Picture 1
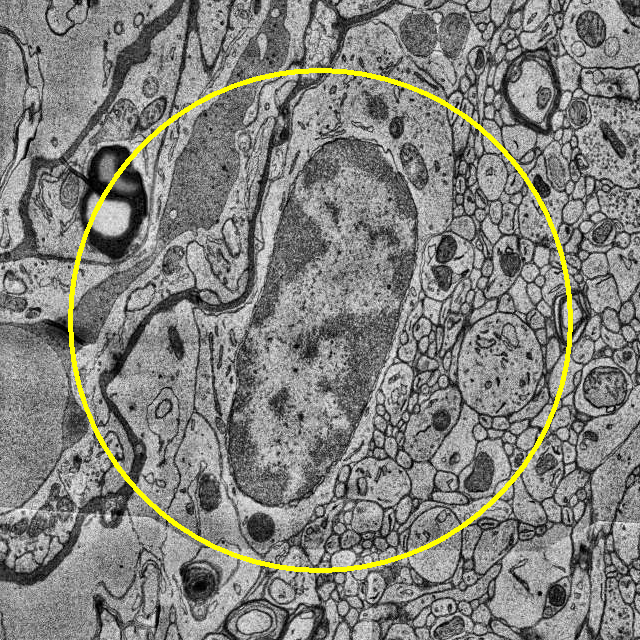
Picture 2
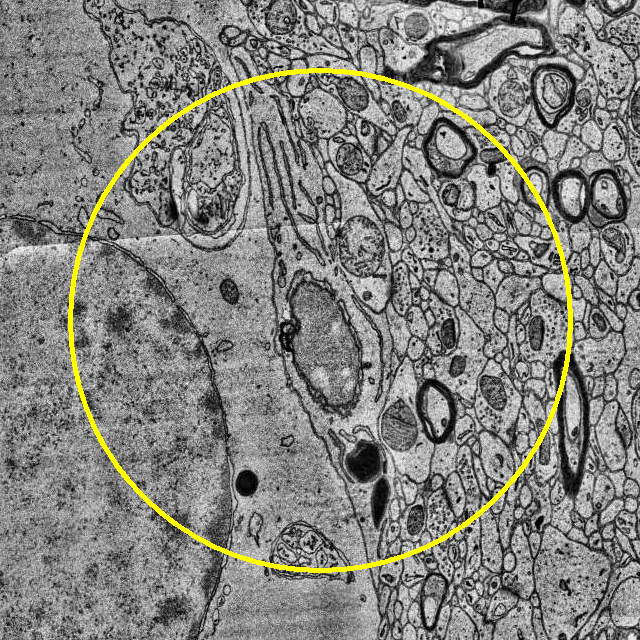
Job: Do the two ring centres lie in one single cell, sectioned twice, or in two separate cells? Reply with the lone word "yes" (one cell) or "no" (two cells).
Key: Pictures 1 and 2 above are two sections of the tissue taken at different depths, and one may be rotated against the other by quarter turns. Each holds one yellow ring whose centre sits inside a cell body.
no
